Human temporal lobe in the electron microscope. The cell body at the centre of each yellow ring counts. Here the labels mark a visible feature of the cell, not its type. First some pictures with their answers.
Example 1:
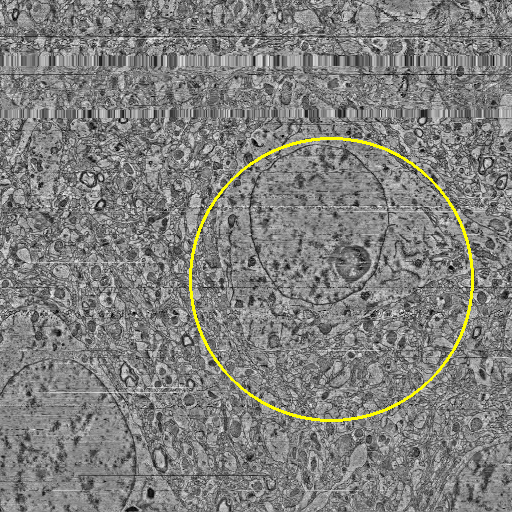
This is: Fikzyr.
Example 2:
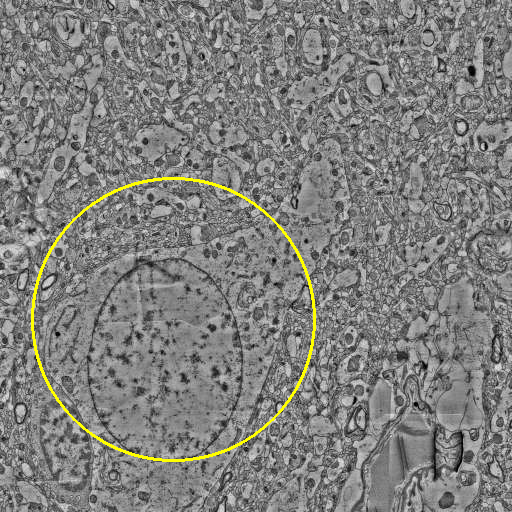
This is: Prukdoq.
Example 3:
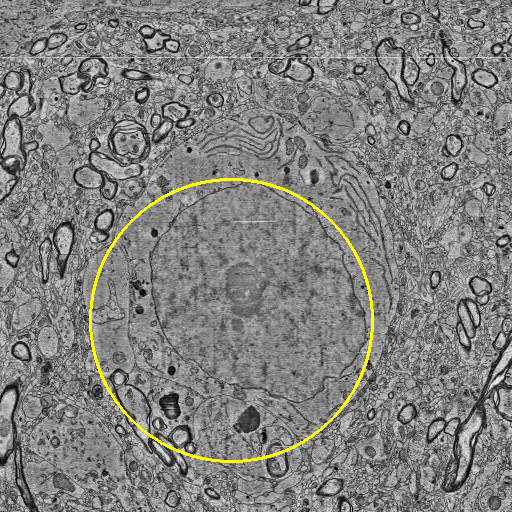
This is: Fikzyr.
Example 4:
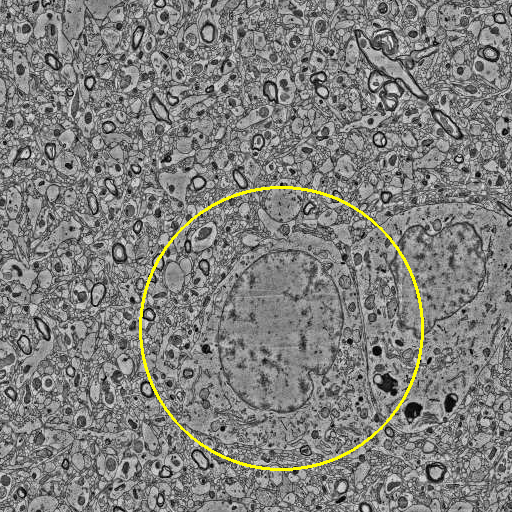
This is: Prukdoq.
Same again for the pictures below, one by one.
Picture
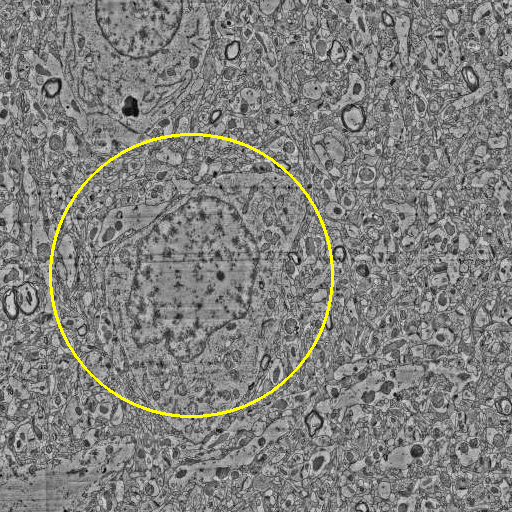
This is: Fikzyr.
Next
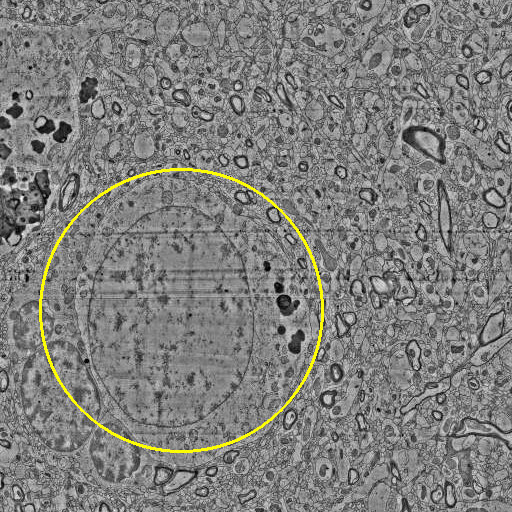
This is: Prukdoq.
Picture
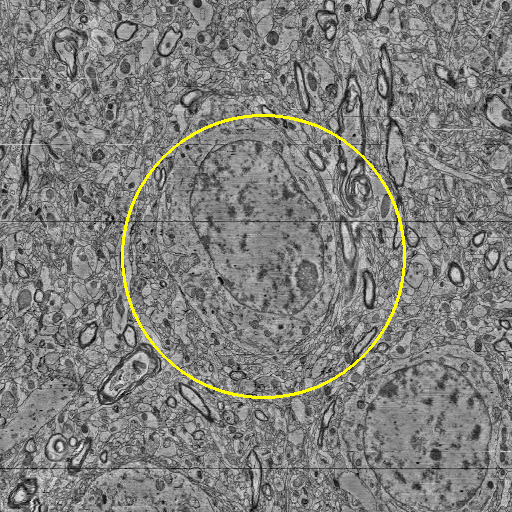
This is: Fikzyr.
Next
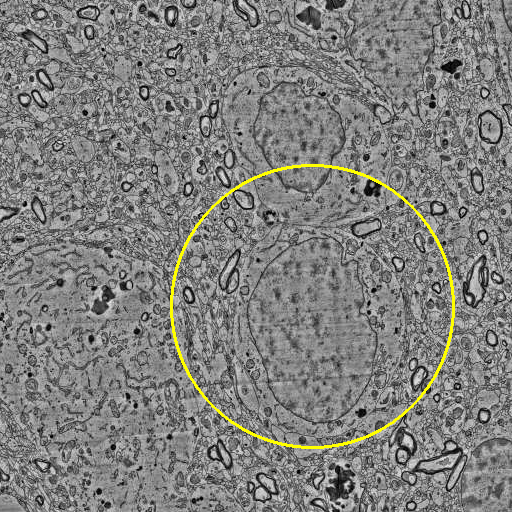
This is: Prukdoq.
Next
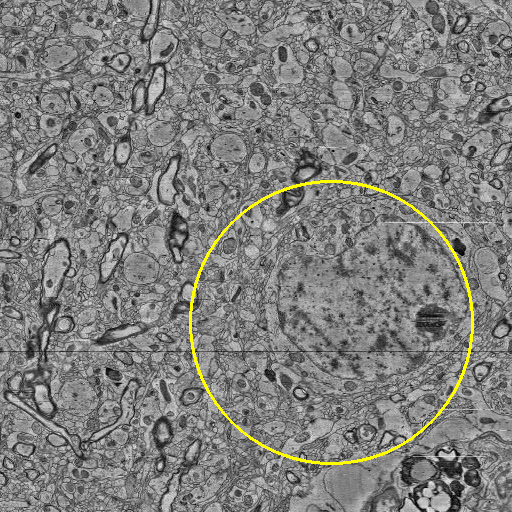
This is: Fikzyr.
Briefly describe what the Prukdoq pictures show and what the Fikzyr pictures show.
Prukdoq, no nucleolus seen; Fikzyr, nucleolus seen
